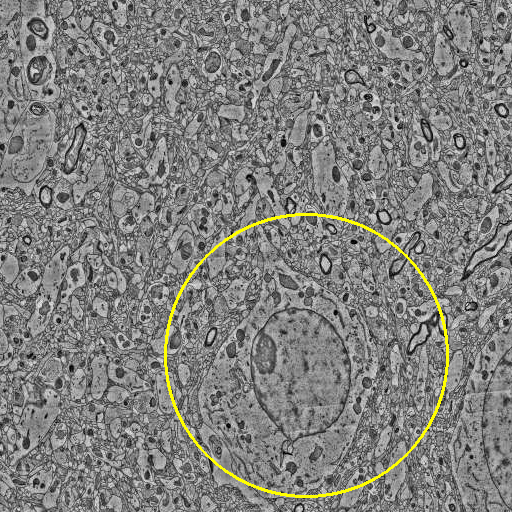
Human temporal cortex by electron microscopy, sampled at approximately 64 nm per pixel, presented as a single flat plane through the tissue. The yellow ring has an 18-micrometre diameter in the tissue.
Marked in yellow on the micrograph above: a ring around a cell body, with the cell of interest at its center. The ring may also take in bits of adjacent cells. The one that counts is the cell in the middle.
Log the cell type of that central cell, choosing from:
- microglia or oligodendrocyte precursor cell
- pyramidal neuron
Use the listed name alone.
pyramidal neuron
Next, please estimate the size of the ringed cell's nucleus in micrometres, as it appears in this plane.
Approximately 9 micrometres long and 6 micrometres wide, in this plane.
